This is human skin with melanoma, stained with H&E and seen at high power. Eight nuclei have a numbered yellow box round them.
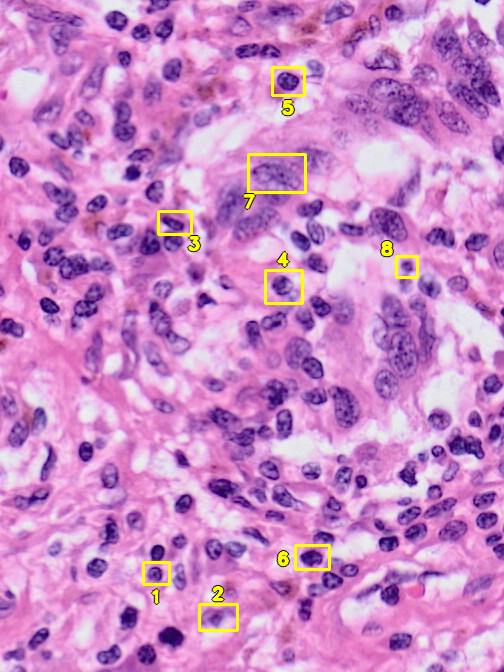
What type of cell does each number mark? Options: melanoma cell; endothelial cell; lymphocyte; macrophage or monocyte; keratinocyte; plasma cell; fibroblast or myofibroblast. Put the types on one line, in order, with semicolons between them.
lymphocyte; fibroblast or myofibroblast; plasma cell; lymphocyte; lymphocyte; lymphocyte; melanoma cell; lymphocyte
